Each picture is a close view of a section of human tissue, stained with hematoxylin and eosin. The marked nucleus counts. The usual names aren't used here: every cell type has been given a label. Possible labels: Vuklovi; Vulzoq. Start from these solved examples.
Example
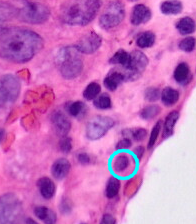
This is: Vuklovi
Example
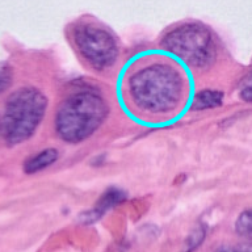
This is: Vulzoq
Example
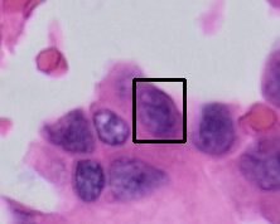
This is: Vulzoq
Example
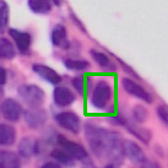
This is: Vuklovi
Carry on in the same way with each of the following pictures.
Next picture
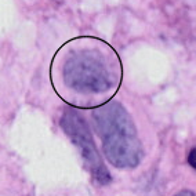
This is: Vulzoq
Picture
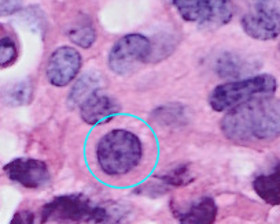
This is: Vulzoq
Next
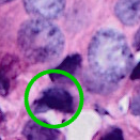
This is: Vulzoq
